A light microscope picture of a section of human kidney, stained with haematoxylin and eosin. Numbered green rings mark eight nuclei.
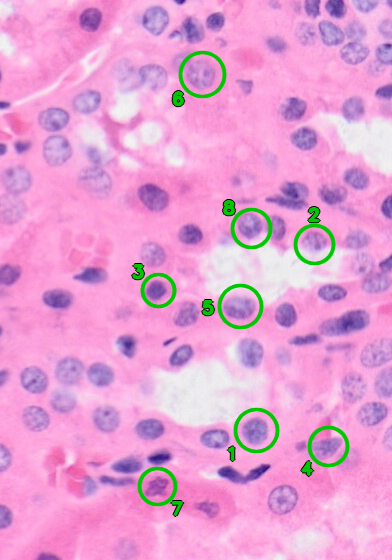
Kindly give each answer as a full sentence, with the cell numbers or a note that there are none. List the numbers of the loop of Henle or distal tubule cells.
The numbers 1, 2, 3, 5 and 8 in this section indicate loop of Henle or distal tubule cells.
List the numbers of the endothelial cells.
Cell 4 represents an endothelial cell, and no other numbered cell does.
